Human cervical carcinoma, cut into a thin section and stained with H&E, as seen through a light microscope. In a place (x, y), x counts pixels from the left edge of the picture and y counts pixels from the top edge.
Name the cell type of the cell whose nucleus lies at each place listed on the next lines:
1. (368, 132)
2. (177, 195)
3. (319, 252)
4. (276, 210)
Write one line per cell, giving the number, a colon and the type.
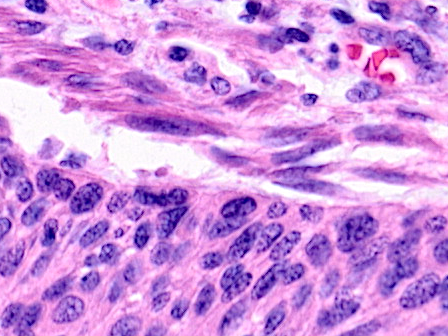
1: fibroblast
2: squamous carcinoma cell
3: squamous carcinoma cell
4: squamous carcinoma cell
